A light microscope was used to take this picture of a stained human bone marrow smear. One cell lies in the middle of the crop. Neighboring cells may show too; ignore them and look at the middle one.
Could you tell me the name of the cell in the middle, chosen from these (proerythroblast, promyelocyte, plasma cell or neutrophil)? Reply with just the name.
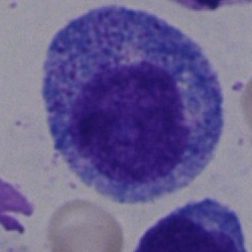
promyelocyte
